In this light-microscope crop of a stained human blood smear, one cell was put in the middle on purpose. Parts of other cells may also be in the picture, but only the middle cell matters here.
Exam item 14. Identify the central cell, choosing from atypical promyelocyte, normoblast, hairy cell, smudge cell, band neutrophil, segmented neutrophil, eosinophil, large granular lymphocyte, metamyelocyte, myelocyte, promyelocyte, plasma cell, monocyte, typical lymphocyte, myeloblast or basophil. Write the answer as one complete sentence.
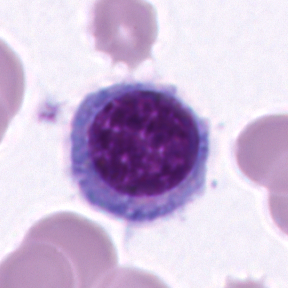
This crop's central cell is a plasma cell.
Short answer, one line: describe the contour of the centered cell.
A smooth outline is absent here, replaced by ragged stretches or projections.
